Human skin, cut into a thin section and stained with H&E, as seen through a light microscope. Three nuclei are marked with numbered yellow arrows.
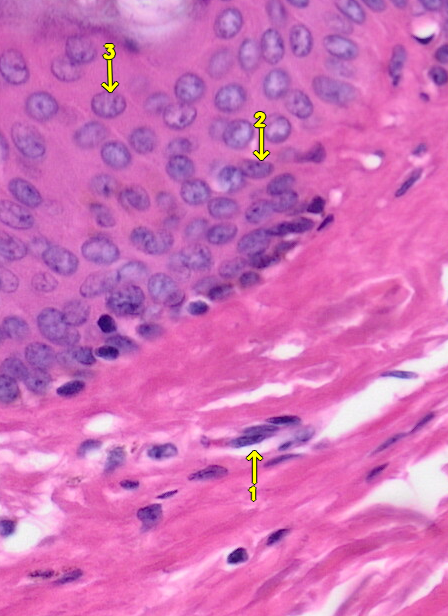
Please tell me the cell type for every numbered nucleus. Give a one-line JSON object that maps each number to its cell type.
{"1": "endothelial cell", "2": "basal keratinocyte", "3": "suprabasal keratinocyte"}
